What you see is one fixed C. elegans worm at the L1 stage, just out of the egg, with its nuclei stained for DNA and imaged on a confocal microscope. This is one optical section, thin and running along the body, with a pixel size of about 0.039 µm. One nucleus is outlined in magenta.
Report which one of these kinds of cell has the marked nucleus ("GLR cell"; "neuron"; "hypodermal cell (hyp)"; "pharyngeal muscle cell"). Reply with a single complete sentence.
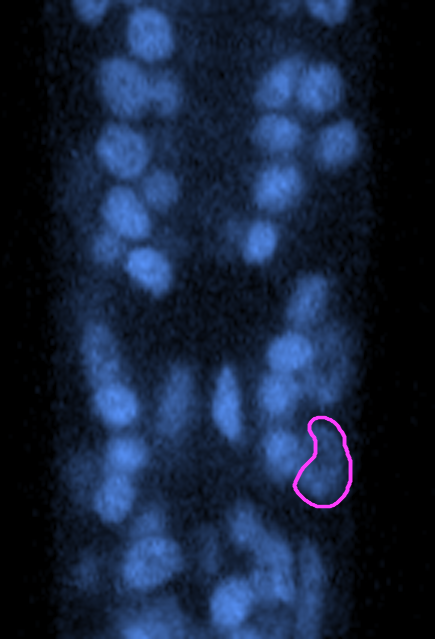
The cell with the marked nucleus is a hypodermal cell (hyp).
